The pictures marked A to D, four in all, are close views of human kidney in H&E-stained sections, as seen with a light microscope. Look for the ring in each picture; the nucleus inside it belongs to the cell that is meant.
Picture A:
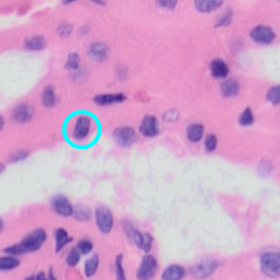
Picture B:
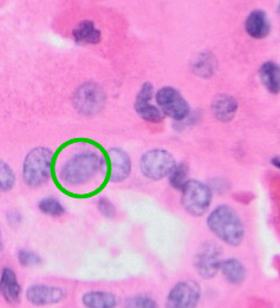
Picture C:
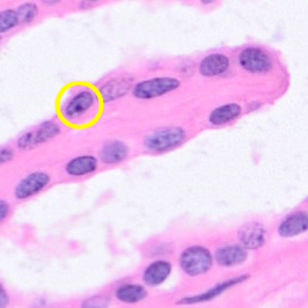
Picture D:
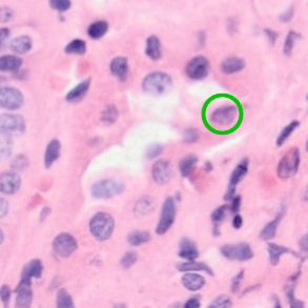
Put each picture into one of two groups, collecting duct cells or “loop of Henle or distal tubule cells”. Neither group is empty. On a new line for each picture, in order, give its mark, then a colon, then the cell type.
A: loop of Henle or distal tubule cell
B: collecting duct cell
C: collecting duct cell
D: loop of Henle or distal tubule cell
